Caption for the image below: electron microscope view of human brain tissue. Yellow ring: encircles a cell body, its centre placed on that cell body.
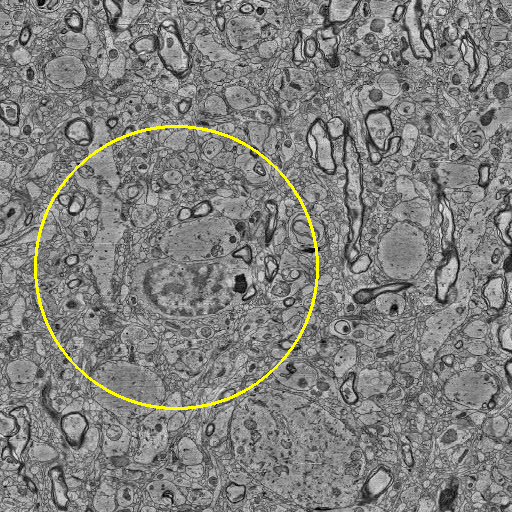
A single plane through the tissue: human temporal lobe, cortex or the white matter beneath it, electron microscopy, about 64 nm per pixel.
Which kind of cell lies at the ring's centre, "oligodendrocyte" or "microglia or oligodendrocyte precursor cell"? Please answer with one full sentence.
The picture shows an oligodendrocyte at the centre of the yellow ring.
